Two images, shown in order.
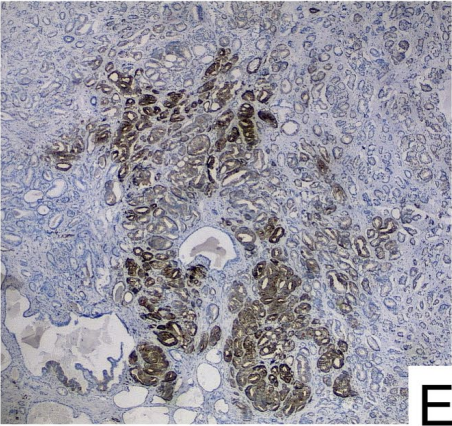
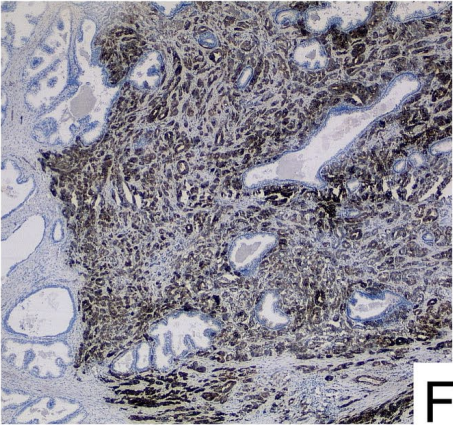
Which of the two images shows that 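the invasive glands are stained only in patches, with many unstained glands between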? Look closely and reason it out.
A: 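Second image: the invasive area is stained dark brown almost throughout. First image: brown-stained small glands form clusters while many neighbouring small glands are pale blue. On this evidence: the first image.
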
